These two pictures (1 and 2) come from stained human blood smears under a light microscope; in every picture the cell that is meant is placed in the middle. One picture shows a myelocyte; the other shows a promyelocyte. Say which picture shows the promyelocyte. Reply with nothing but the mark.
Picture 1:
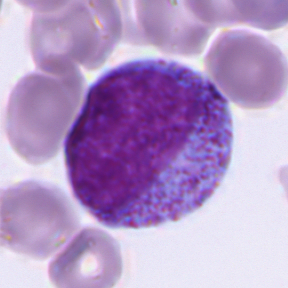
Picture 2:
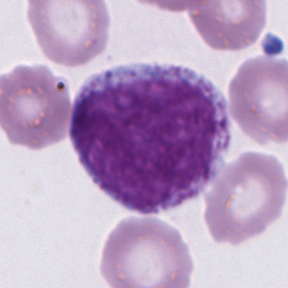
1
